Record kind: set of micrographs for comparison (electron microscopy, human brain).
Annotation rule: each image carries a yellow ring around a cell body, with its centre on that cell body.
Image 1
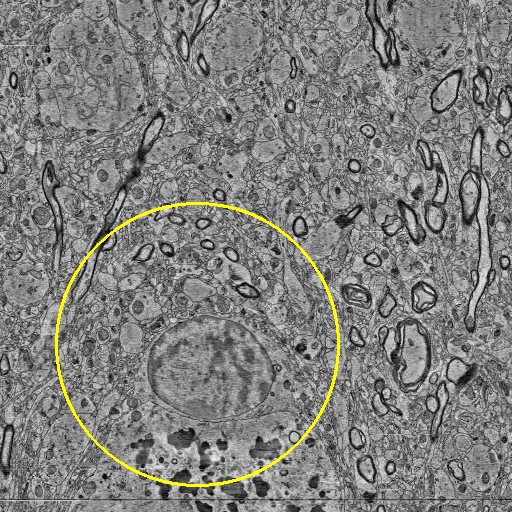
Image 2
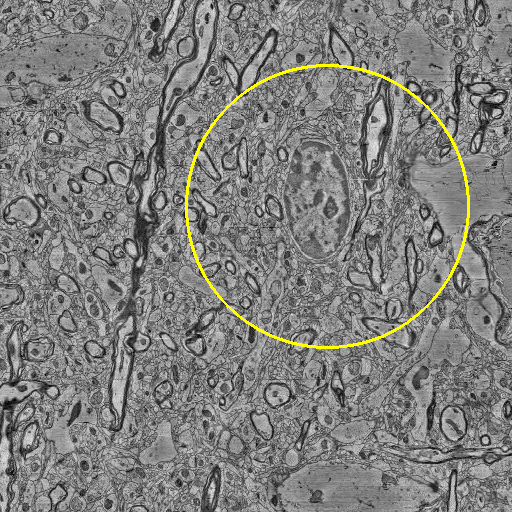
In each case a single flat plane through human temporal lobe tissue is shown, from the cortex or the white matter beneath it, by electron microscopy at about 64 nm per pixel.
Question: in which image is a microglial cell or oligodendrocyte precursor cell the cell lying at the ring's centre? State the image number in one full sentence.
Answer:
In image 2, the ring is centred on the cell in question.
